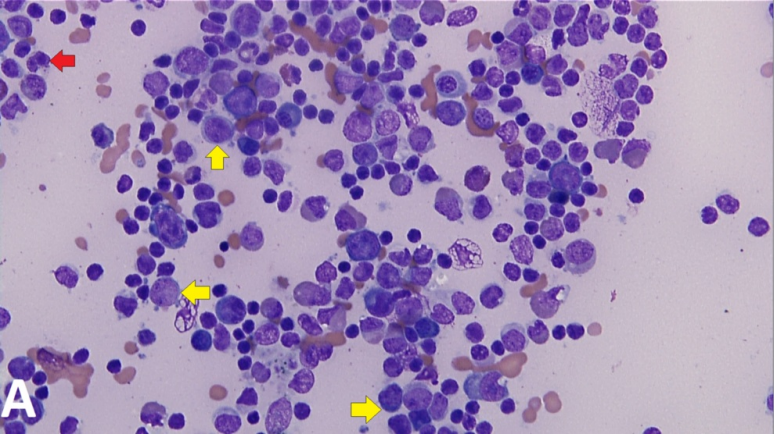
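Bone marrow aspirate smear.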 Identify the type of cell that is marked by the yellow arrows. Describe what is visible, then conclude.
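The marked cells are larger than the surrounding small dark cells. The marked cells have large round nuclei with fine, open chromatin. The marked cells have a narrow rim of blue cytoplasm.
Conclusion: blasts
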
